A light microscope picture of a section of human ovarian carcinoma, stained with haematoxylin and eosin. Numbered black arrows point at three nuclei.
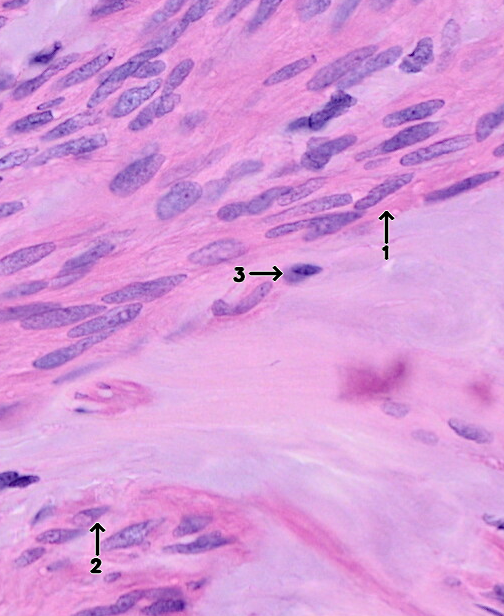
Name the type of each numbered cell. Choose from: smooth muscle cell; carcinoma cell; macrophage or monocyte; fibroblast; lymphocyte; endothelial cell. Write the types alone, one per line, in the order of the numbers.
smooth muscle cell
smooth muscle cell
fibroblast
